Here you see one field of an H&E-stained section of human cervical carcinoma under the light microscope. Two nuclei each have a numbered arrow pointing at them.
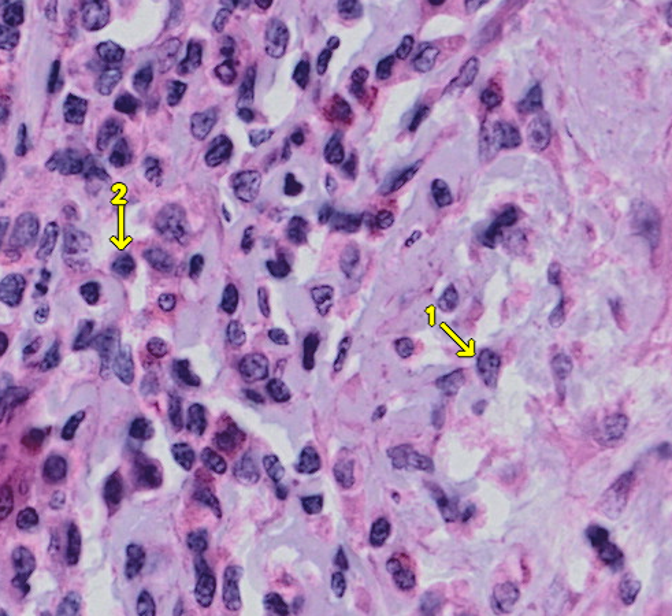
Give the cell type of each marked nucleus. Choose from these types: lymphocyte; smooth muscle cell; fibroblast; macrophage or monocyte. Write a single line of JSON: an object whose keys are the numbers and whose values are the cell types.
{"1": "macrophage or monocyte", "2": "lymphocyte"}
